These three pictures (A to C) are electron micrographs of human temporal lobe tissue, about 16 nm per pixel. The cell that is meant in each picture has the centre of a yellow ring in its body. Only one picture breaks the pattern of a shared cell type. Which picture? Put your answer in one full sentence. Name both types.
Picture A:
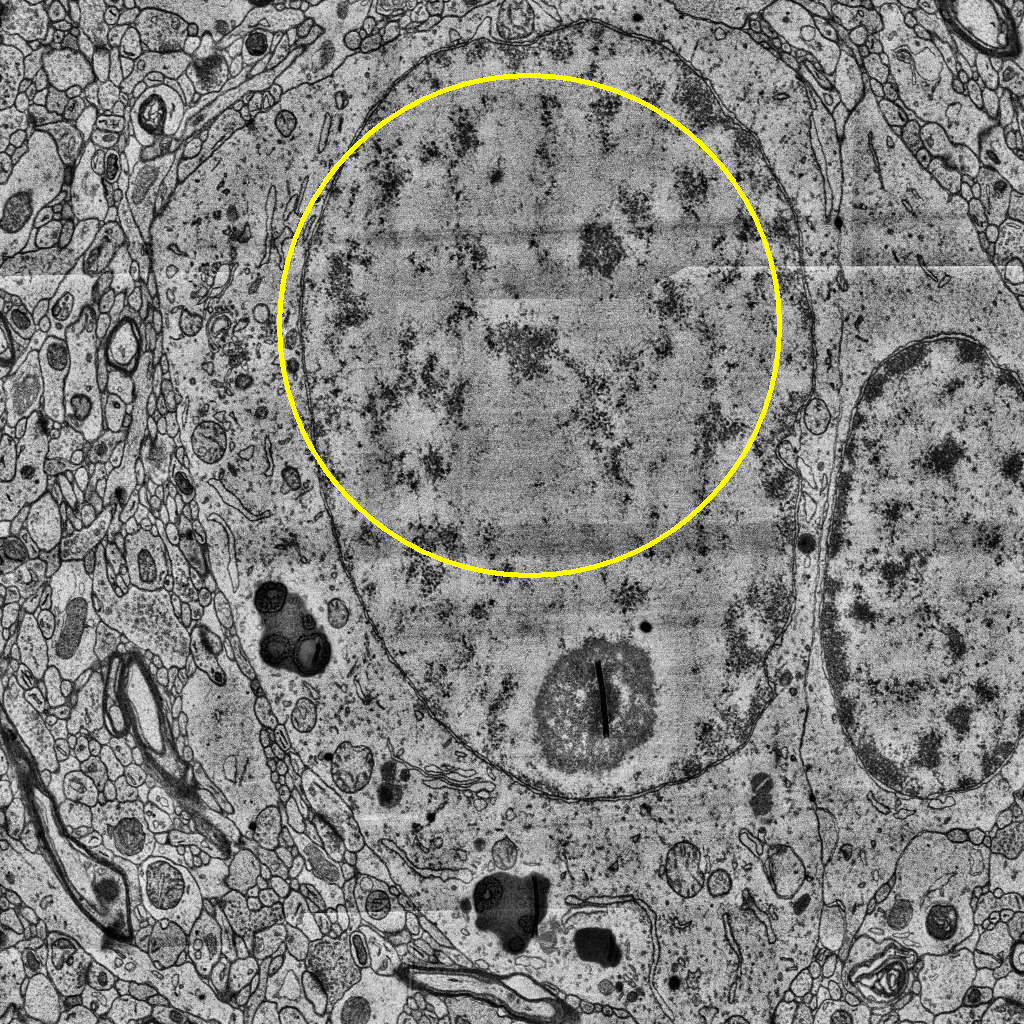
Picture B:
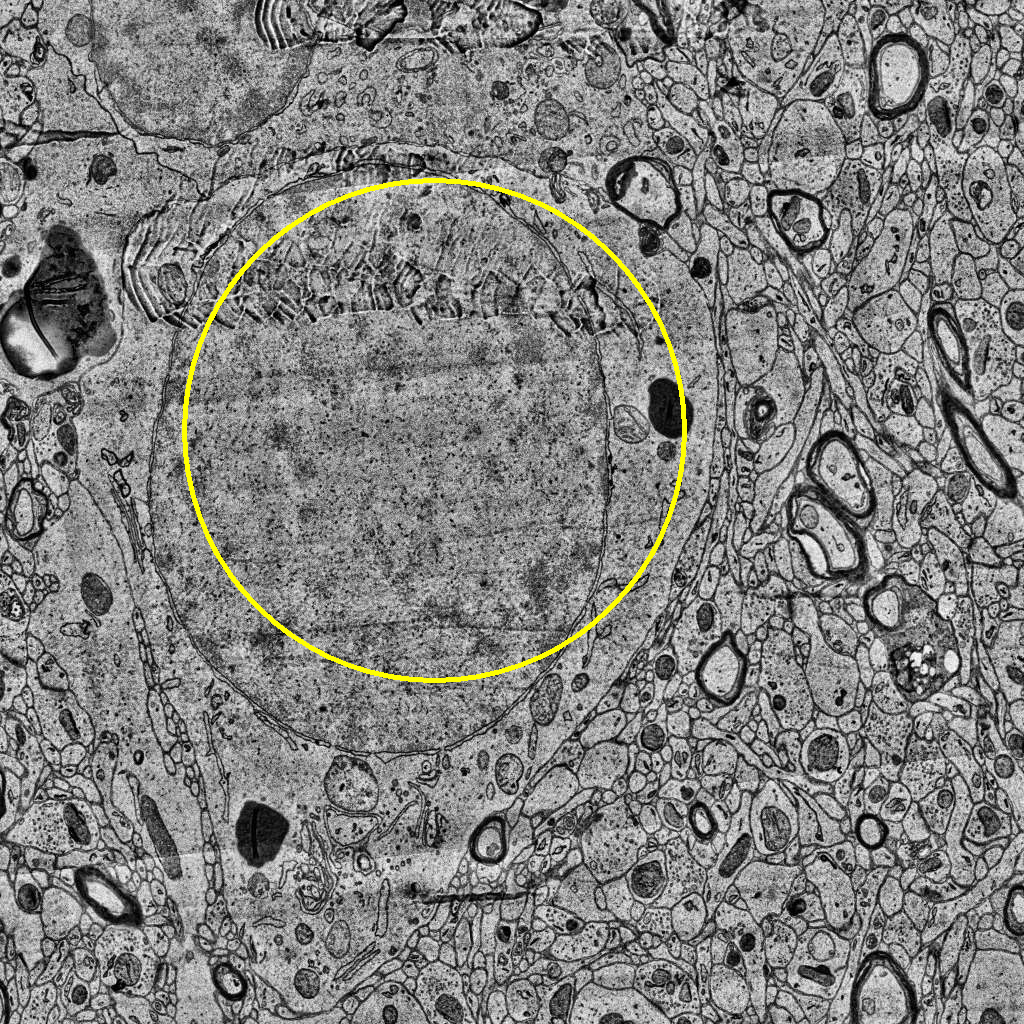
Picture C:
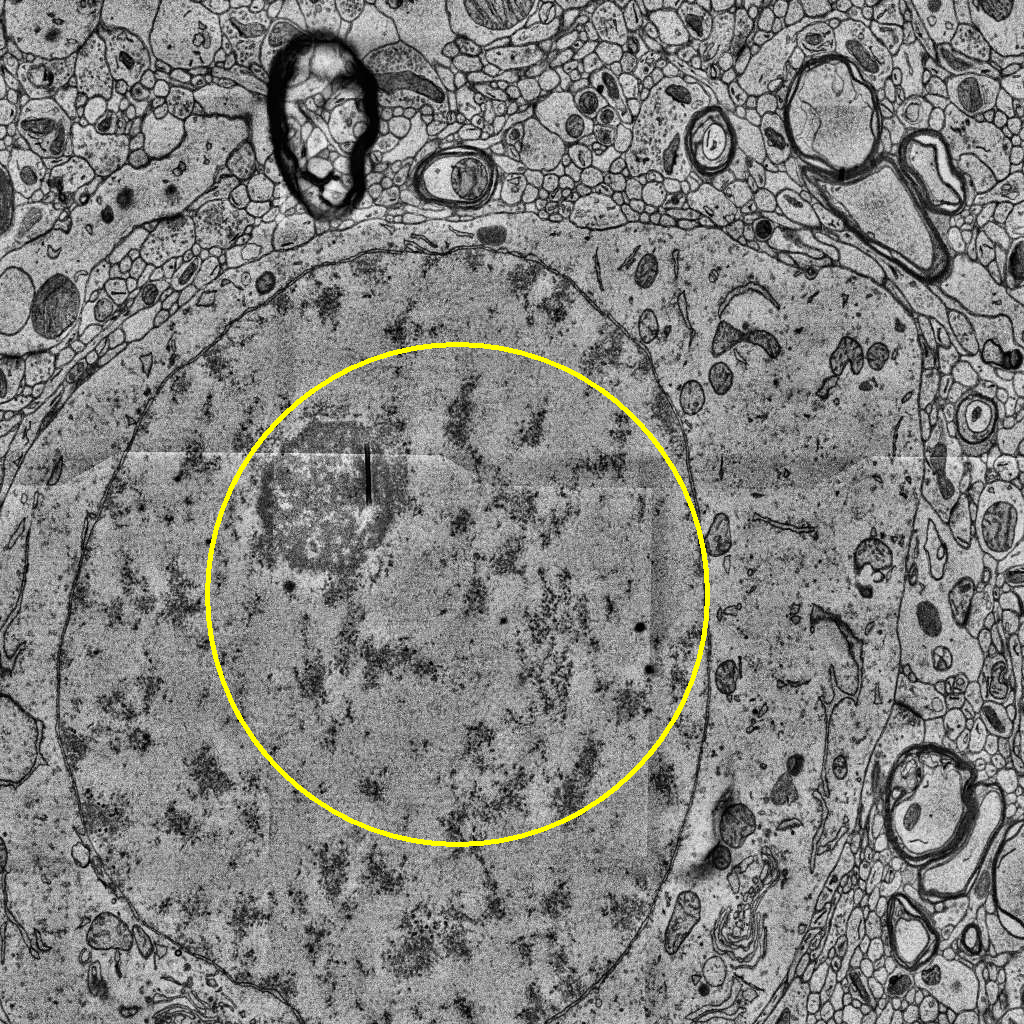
Picture B differs, because its cell is an interneuron and the rest are pyramidal neurons.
